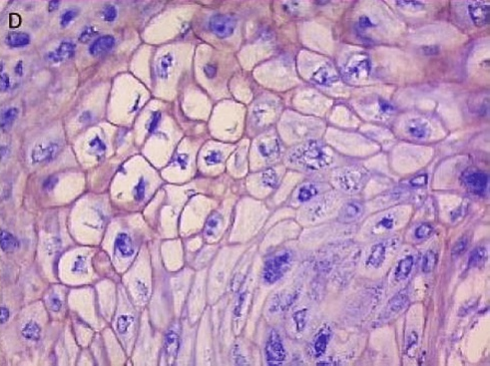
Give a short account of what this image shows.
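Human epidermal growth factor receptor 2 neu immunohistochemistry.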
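Squamous cell carcinoma cells seen at high power, large polygonal cells packed in a mosaic. Brown lines trace the cell borders all round, giving a chicken-wire pattern. The cytoplasm is pale to clear and unstained. Nuclei are blue, irregular and of varied size, many with coarse, clumped chromatin.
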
